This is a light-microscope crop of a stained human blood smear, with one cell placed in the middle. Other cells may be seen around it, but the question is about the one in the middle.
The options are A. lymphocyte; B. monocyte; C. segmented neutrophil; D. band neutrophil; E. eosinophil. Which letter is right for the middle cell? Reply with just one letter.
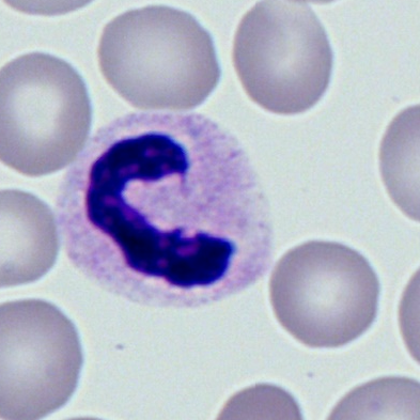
D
